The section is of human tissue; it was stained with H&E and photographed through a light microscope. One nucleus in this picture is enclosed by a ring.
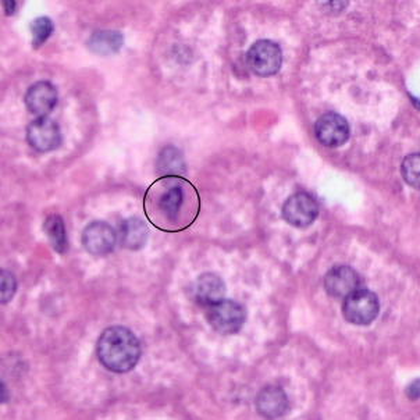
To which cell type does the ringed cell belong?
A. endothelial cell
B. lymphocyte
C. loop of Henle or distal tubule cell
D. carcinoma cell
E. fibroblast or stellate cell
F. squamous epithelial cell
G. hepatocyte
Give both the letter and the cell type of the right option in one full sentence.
It is correct to say that the ringed cell is a fibroblast or stellate cell, as option E does.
